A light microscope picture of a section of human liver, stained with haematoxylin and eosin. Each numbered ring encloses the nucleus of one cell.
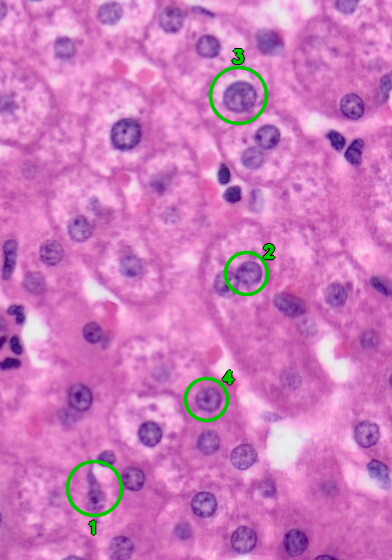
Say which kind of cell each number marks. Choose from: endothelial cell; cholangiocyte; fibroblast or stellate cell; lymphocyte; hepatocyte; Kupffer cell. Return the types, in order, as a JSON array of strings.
["Kupffer cell", "hepatocyte", "hepatocyte", "hepatocyte"]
